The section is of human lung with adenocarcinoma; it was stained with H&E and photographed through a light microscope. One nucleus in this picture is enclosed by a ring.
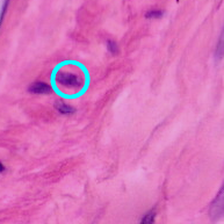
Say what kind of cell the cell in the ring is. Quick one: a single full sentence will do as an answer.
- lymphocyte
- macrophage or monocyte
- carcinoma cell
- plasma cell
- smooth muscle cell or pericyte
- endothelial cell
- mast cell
As a matter of cell type, the cell in the ring is a smooth muscle cell or pericyte.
